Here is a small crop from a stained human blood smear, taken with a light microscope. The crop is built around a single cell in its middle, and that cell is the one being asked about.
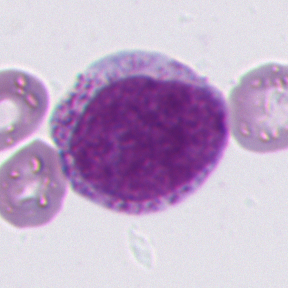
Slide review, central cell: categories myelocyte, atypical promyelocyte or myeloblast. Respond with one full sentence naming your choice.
For this crop, the central cell is a myelocyte.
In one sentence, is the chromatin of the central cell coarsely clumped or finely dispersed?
What stands out is fine chromatin lacking any coarse clumps.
